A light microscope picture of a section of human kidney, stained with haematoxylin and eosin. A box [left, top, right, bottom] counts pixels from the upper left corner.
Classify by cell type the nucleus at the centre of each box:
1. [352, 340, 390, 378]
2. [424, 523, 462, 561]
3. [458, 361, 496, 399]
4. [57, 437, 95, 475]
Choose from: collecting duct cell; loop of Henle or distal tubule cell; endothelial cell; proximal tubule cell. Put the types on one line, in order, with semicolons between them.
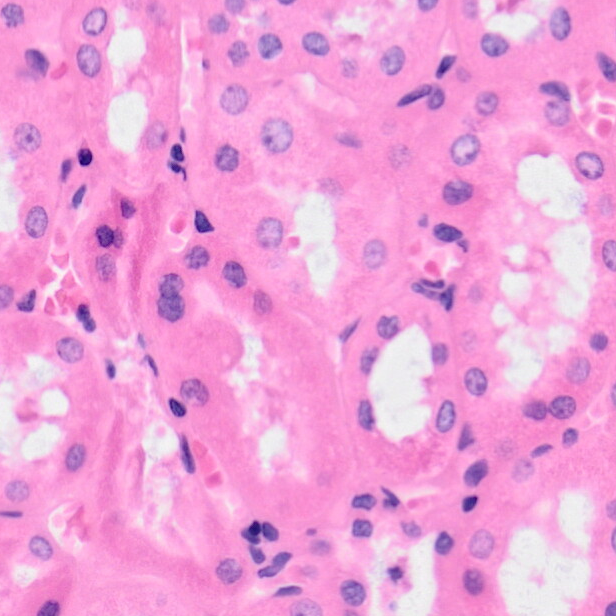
loop of Henle or distal tubule cell; loop of Henle or distal tubule cell; proximal tubule cell; proximal tubule cell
